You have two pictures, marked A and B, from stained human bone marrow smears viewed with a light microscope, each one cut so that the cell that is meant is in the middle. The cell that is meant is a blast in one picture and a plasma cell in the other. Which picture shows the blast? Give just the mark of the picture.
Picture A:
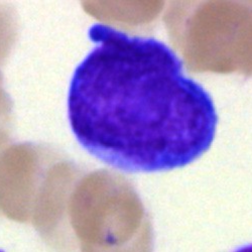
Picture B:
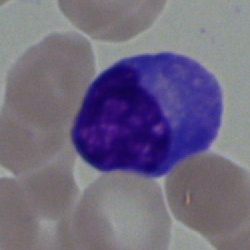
A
